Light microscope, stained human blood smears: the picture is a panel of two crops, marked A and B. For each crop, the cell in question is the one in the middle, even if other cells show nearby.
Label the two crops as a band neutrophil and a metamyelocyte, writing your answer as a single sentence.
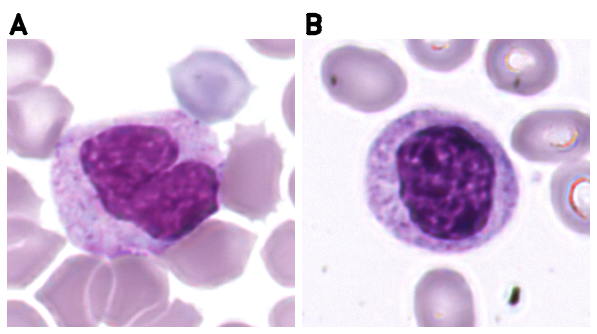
Crop A is a band neutrophil and crop B is a metamyelocyte.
